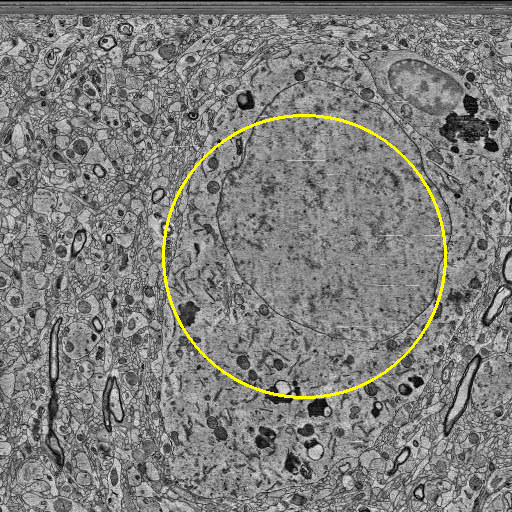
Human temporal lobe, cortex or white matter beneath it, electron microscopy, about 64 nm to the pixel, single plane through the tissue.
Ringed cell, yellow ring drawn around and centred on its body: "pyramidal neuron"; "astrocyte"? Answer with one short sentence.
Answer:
This ringed cell is a pyramidal neuron.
